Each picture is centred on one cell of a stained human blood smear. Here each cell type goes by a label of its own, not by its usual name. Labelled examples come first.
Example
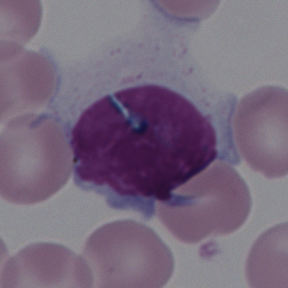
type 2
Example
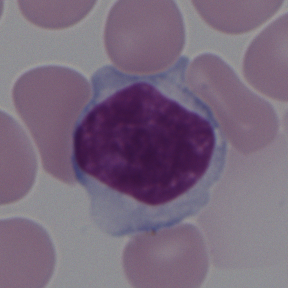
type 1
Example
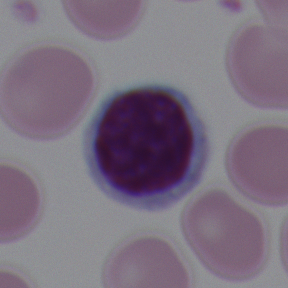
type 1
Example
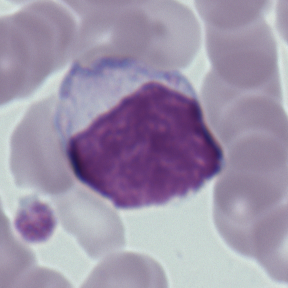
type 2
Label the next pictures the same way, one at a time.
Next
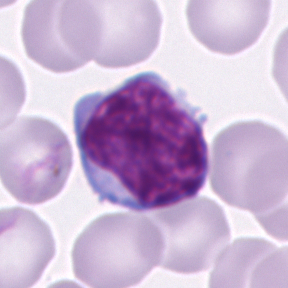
type 1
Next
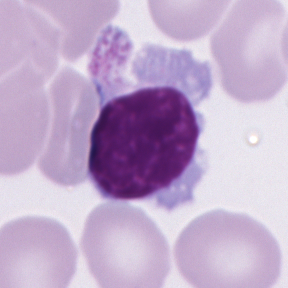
type 2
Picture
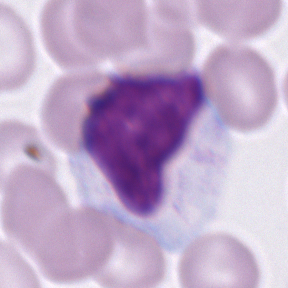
type 2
